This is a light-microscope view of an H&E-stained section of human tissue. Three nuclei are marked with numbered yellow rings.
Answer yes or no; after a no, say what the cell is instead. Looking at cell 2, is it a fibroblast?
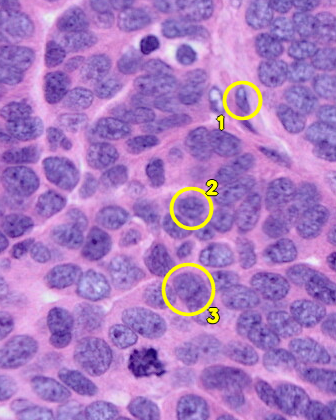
No, it is a carcinoma cell.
